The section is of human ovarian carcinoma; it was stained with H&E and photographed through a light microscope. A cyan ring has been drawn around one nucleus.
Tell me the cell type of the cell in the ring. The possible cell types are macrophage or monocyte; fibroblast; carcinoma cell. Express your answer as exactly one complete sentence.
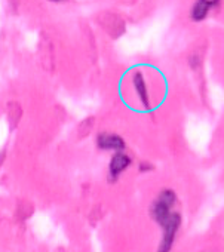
Cytologically, the cell in the ring is to be regarded as a fibroblast.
